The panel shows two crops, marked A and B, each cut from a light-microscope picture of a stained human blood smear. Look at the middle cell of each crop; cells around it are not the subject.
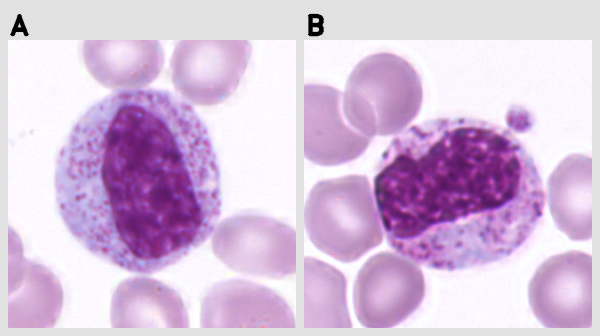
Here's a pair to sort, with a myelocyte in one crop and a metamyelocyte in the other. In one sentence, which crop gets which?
In crop A, a myelocyte is present; in crop B, a metamyelocyte is present.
